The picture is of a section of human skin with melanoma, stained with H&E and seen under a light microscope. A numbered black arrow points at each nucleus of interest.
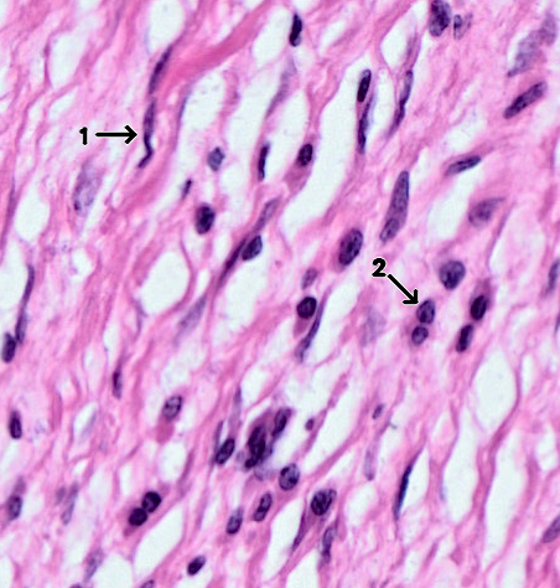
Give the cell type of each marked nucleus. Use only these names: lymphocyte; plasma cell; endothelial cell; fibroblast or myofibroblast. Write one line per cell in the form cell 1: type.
cell 1: fibroblast or myofibroblast
cell 2: plasma cell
